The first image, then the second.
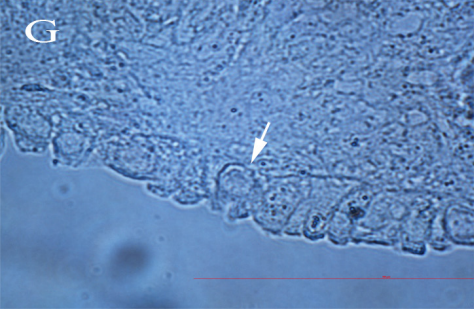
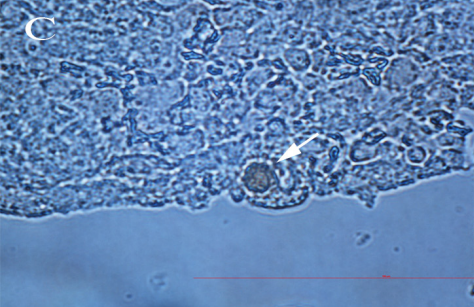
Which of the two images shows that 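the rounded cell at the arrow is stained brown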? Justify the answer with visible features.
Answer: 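First image: the rounded cell at the arrow is pale, without brown colour. Second image: the rounded cell at the arrow is filled with brownish granular colour.
Conclusion: the second image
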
